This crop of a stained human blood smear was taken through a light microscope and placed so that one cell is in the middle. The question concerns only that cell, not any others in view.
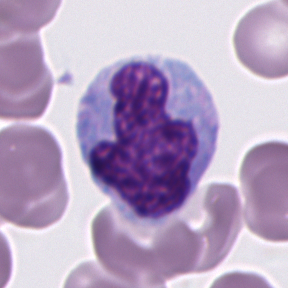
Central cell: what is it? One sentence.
Where the crop is centred, there is a monocyte.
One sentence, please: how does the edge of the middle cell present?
Edge check done: smooth outline, no projections present.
